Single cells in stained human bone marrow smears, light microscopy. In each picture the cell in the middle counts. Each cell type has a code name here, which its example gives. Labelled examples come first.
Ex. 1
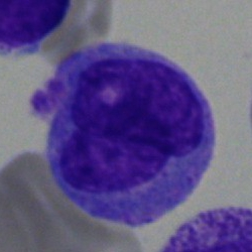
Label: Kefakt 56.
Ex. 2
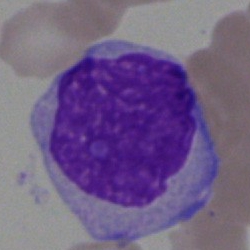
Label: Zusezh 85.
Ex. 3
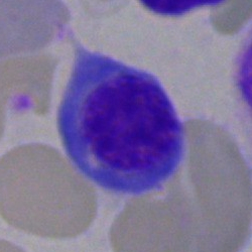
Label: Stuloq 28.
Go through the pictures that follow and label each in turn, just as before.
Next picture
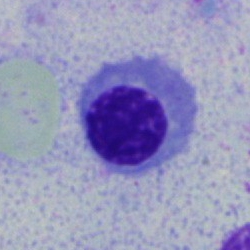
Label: Stuloq 28.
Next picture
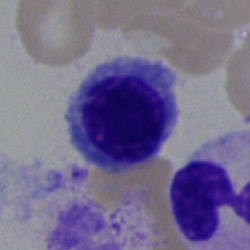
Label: Stuloq 28.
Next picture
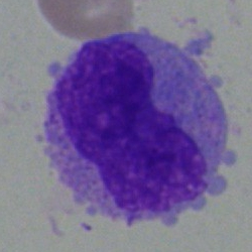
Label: Kefakt 56.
